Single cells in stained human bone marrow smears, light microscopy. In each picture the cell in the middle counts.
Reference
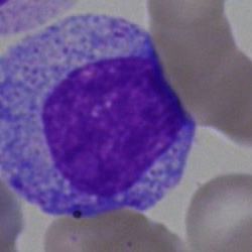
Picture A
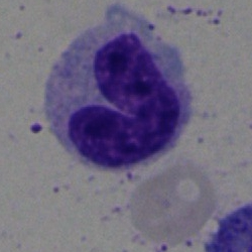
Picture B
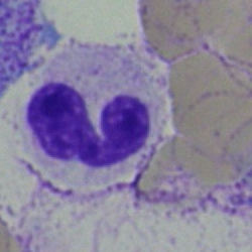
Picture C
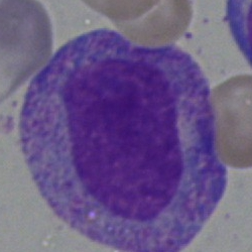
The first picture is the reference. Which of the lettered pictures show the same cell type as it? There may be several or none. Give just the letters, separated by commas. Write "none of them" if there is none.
C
